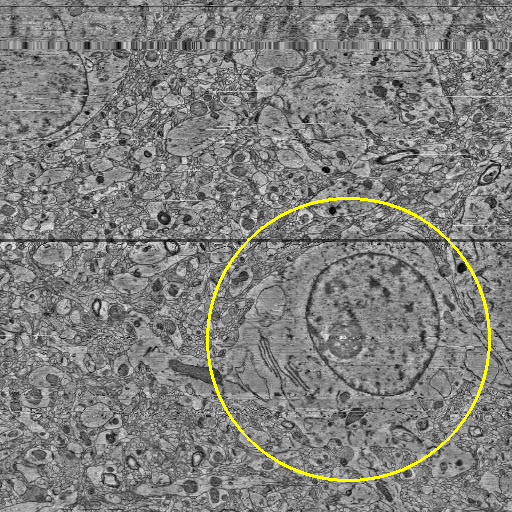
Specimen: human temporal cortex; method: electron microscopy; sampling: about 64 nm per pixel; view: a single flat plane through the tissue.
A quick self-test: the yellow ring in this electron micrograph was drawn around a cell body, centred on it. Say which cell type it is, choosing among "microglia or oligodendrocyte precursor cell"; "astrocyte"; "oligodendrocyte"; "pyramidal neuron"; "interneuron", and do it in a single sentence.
The yellow-ringed cell is an astrocyte.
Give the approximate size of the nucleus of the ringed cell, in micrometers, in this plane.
The ringed cell's nucleus is about 10 micrometres long and 8 micrometres wide in this plane.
